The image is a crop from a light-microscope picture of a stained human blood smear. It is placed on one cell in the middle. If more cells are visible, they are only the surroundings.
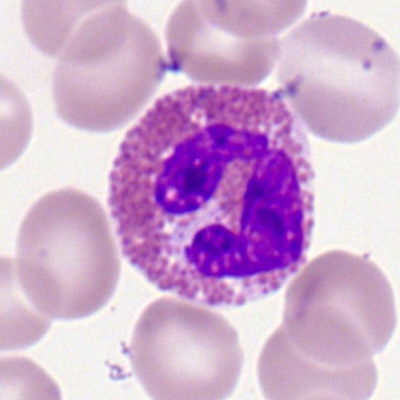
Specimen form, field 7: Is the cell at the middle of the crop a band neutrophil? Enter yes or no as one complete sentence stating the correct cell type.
No, the cell in the middle of the crop counts as an eosinophil and not as a band neutrophil.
